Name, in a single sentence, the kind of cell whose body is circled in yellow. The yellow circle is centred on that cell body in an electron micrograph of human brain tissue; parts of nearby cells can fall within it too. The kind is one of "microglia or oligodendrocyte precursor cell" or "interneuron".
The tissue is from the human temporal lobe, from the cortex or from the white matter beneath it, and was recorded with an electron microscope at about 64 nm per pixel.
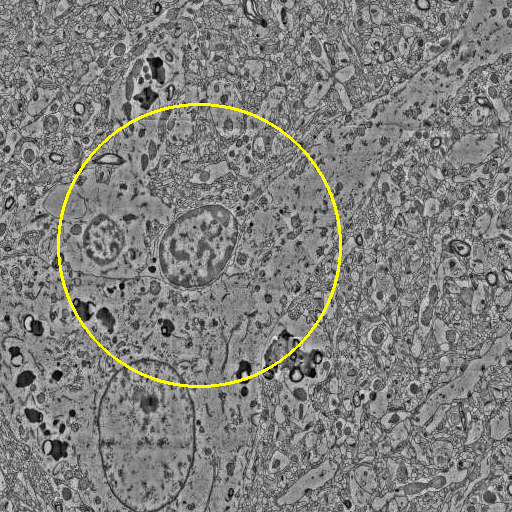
The circled cell body belongs to a microglial cell or oligodendrocyte precursor cell.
